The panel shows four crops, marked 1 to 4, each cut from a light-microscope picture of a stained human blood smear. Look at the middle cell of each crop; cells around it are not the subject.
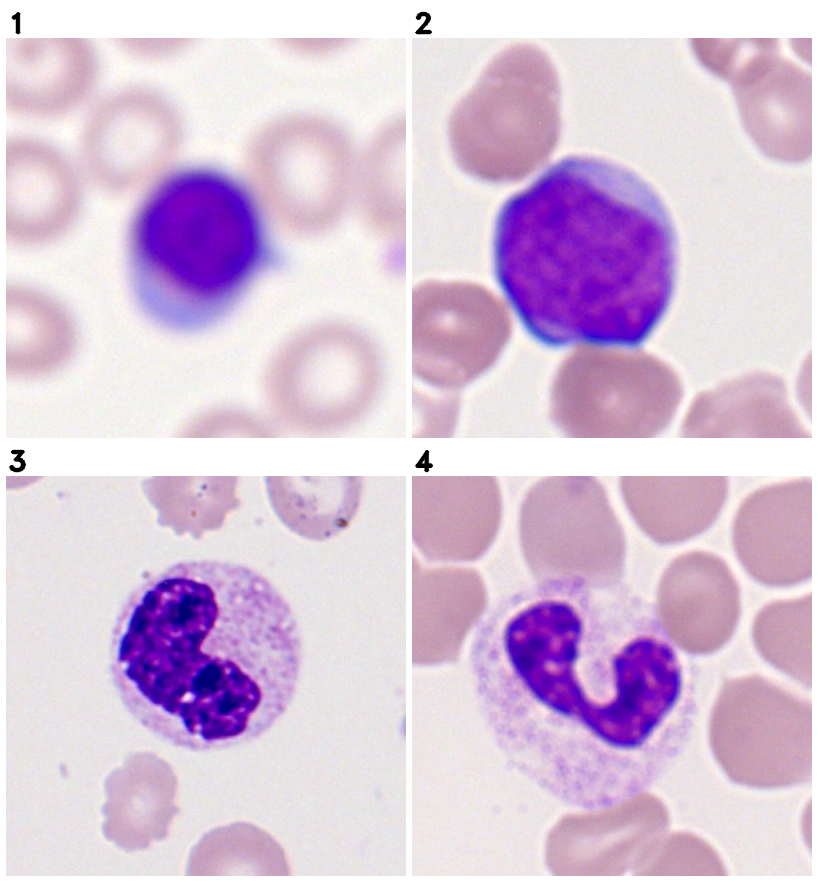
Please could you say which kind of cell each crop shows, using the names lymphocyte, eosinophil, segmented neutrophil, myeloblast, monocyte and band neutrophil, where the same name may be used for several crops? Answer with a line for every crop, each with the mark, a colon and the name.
1: lymphocyte
2: myeloblast
3: band neutrophil
4: band neutrophil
